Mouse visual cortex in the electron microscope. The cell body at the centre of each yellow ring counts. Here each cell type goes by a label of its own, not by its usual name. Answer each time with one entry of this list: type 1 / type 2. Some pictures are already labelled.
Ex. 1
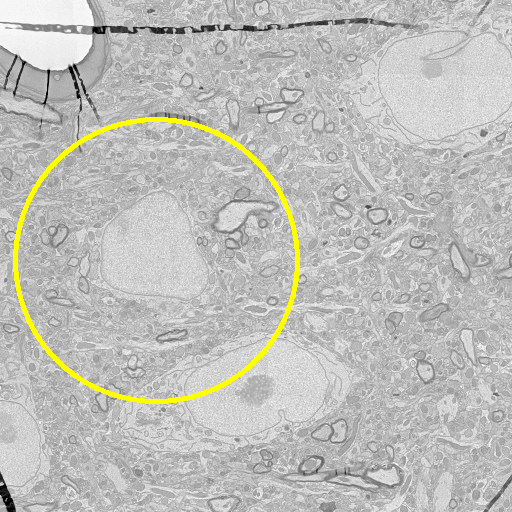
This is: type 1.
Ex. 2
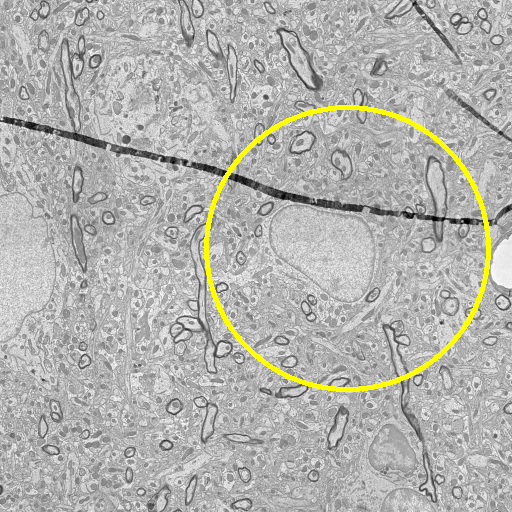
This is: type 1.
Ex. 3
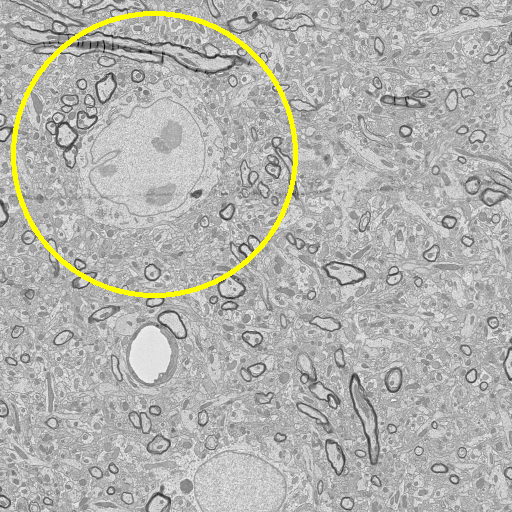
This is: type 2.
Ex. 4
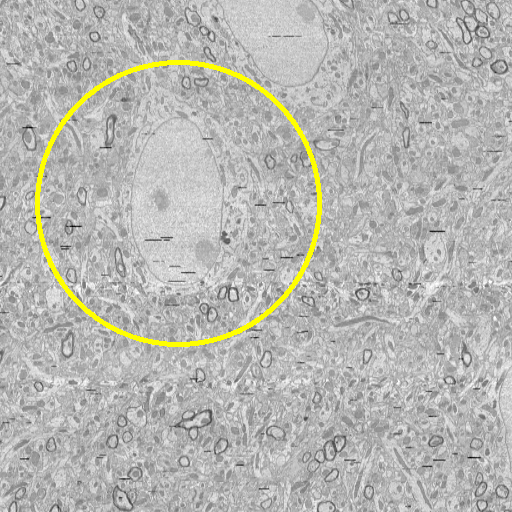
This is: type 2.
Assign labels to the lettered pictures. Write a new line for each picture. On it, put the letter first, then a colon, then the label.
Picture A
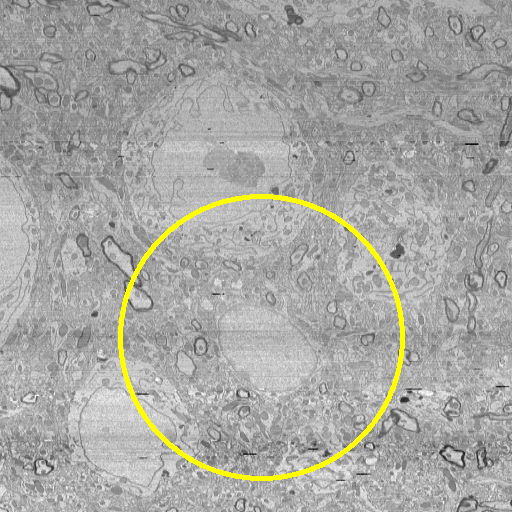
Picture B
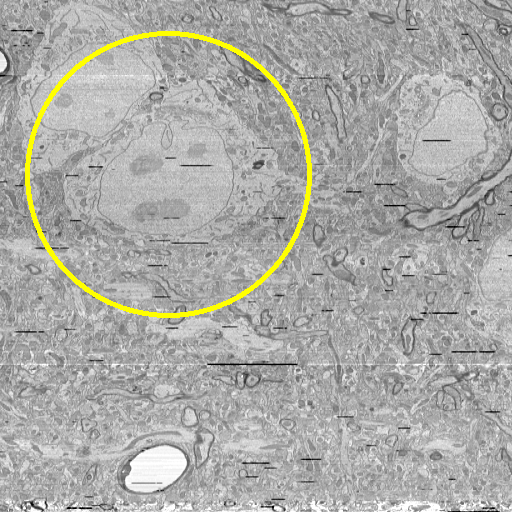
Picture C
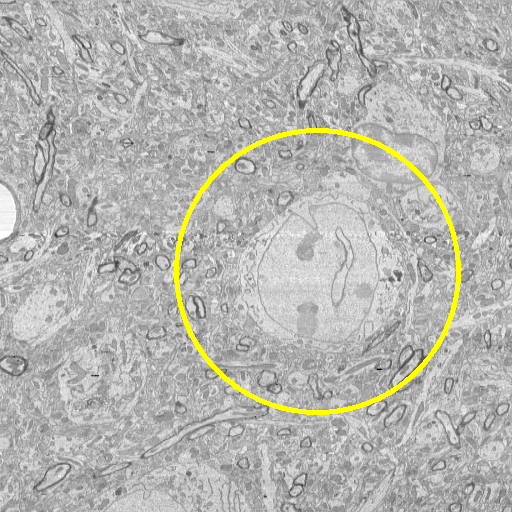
A: type 1.
B: type 2.
C: type 2.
